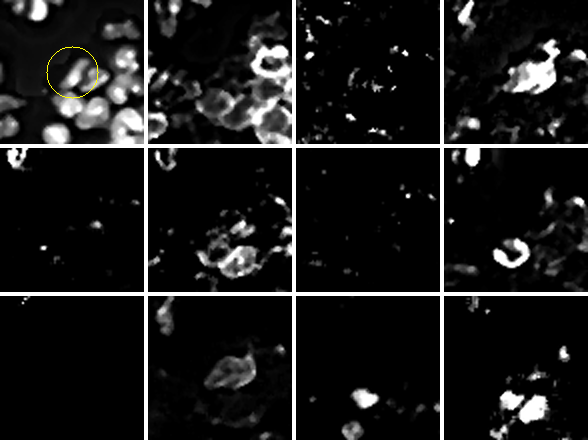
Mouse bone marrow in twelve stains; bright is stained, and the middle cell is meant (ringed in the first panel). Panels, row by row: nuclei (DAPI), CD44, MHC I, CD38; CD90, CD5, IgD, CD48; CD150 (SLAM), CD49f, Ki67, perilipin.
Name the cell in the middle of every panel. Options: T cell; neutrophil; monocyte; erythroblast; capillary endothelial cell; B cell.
capillary endothelial cell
